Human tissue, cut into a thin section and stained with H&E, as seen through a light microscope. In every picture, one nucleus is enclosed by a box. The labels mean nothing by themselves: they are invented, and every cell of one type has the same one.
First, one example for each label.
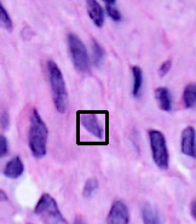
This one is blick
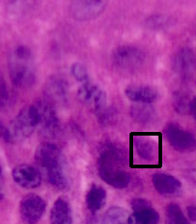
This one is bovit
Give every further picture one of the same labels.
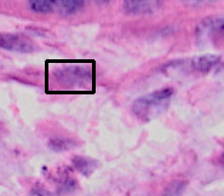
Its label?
blick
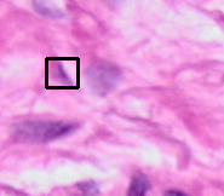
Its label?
blick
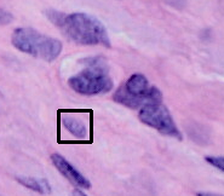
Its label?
blick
